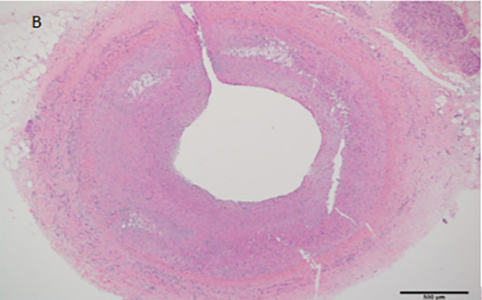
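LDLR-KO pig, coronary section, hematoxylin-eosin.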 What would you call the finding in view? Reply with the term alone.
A: Intimal hyperplasia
